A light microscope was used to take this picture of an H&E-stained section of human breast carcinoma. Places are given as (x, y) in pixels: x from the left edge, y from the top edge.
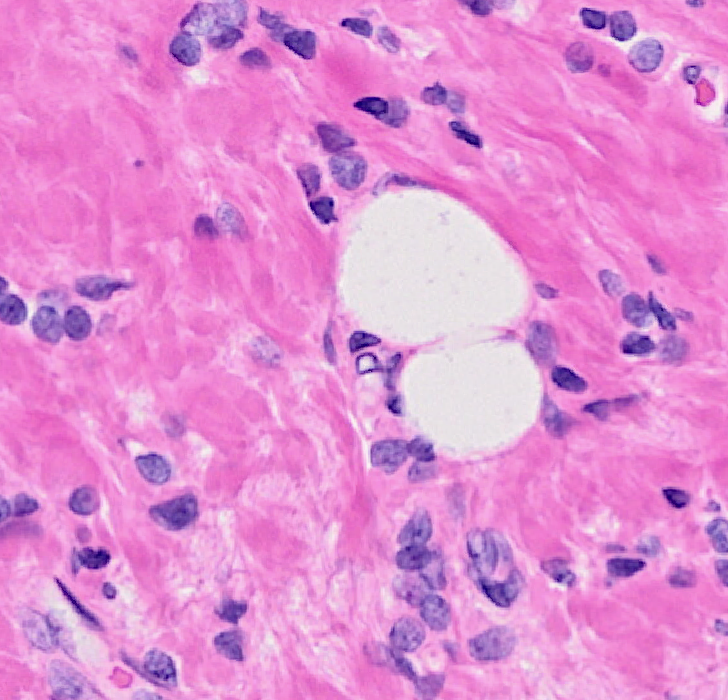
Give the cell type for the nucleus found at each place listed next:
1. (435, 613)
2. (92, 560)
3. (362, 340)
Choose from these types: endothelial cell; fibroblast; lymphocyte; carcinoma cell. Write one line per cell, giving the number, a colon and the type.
1: carcinoma cell
2: lymphocyte
3: endothelial cell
